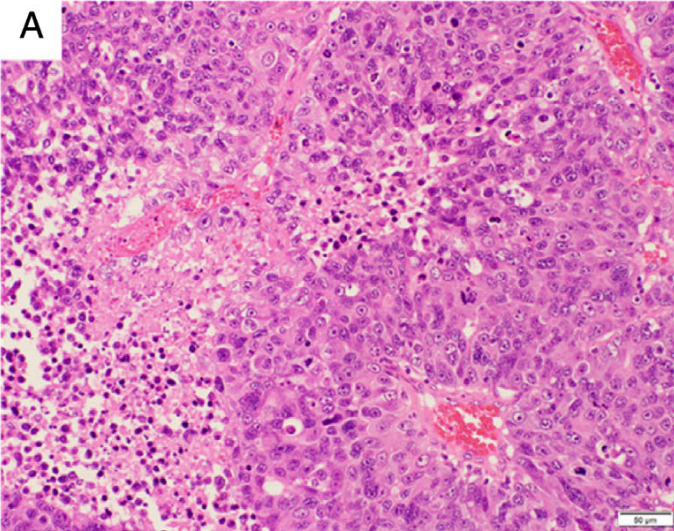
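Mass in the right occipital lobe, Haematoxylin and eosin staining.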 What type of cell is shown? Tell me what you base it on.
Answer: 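Atypical cells. Densely packed large cells with pink cytoplasm. Large nuclei with prominent nucleoli. Nuclei vary in size and shape, some very dark and enlarged.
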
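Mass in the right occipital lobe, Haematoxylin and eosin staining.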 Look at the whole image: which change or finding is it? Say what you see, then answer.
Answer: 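Necrosis. At the left edge a loose zone of scattered small dark nuclear fragments and pale pink debris. This zone lies beside the solid sheet of intact tumour cells.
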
